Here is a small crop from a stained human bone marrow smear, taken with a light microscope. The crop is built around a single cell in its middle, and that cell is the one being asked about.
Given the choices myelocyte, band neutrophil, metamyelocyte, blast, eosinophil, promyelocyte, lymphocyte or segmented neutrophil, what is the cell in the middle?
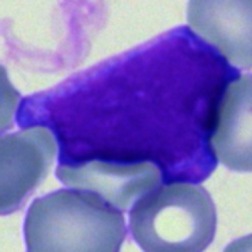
blast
